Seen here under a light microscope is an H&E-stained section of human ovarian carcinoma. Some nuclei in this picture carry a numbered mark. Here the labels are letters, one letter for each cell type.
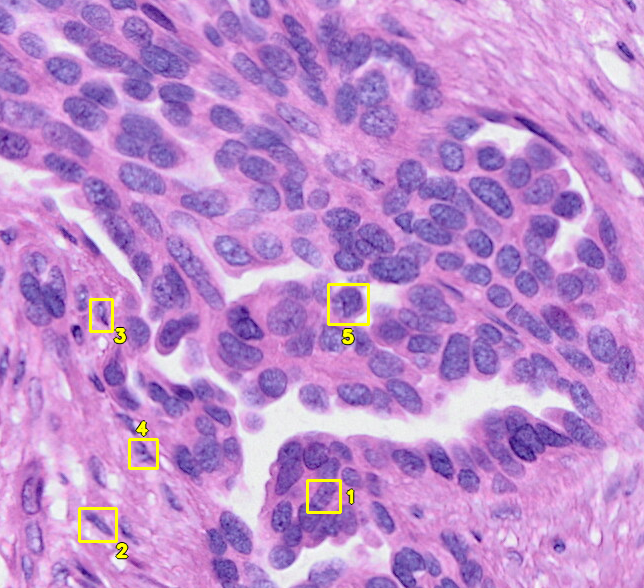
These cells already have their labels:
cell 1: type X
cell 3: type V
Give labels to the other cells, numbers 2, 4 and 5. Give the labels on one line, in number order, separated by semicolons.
type V; type V; type X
